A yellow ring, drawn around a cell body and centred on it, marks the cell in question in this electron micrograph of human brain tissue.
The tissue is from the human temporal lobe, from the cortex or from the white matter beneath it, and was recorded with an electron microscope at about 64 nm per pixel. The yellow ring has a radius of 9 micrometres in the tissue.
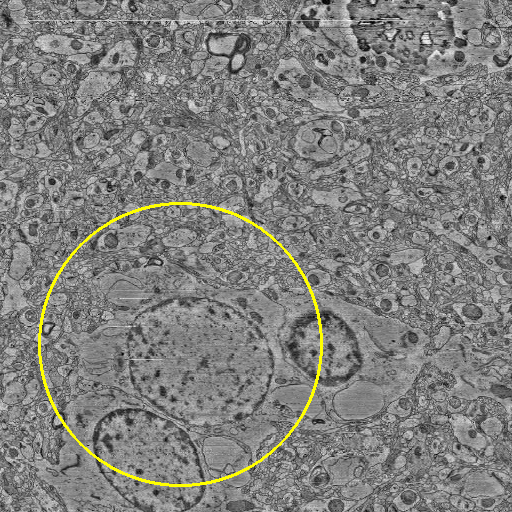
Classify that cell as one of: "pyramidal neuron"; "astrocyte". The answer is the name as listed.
astrocyte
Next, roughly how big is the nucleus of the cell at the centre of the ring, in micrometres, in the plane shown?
In this plane, the nucleus is roughly 10 by 8 micrometres.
